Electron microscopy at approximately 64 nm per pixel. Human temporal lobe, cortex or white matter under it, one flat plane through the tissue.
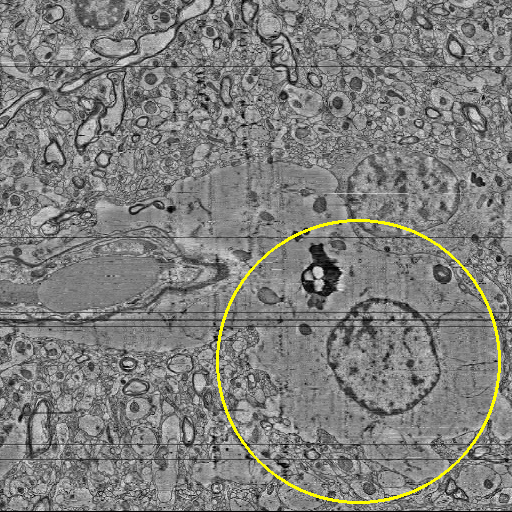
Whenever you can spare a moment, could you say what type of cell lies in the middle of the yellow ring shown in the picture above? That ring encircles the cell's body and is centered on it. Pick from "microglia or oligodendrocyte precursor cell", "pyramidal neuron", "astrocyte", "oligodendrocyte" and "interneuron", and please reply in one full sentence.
The cell whose body sits at the middle of the yellow ring is an astrocyte.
